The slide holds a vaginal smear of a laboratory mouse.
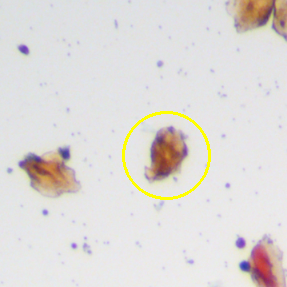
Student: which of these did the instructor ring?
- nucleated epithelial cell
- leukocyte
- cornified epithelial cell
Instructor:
The cell I ringed is a cornified epithelial cell.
